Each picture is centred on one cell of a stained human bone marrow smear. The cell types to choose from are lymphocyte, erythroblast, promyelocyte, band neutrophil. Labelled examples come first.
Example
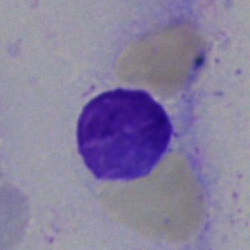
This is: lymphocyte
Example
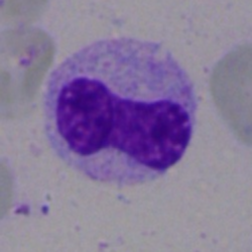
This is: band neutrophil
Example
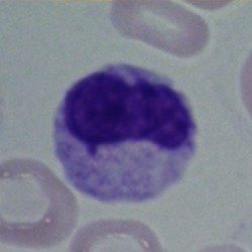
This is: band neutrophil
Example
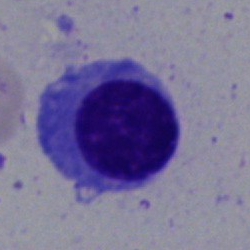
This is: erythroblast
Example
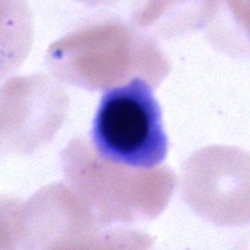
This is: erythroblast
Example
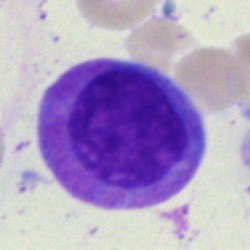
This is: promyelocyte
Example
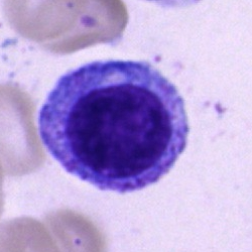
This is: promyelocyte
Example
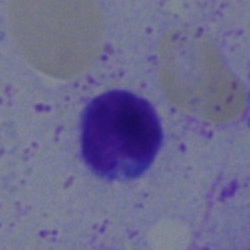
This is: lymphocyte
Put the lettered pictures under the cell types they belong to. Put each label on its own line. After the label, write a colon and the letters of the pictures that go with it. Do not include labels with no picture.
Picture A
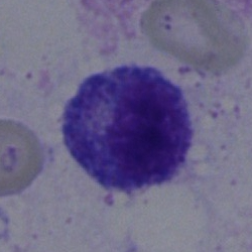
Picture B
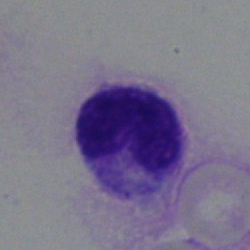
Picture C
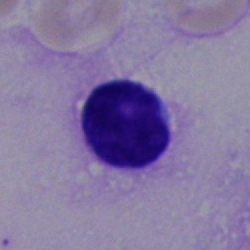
lymphocyte: C
promyelocyte: A
band neutrophil: B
